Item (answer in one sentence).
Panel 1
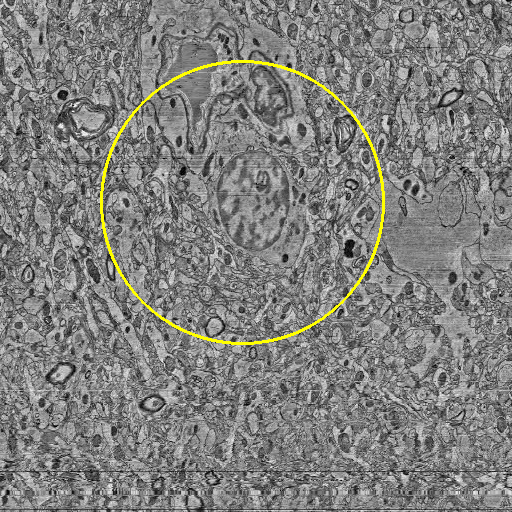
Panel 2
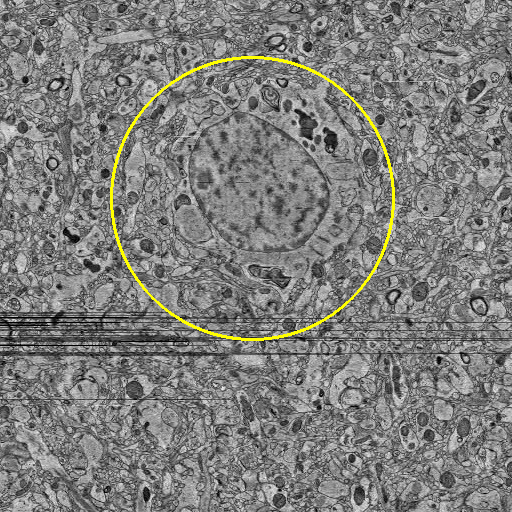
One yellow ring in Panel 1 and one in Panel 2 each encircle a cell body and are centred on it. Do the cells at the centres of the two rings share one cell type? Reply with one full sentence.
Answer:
No, Panel 1 and Panel 2 show cells of two types at the centres of their rings.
